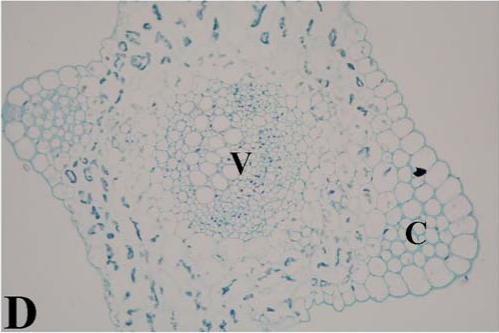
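This cross section through a leaf vein shows a central vascular bundle made of small, densely packed cells encircled by larger thin-walled cells. The section bulges on both sides into ribs of rounded collenchyma cells with pale blue-green walls, and above and around lie mesophyll cells containing dark blue bodies.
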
